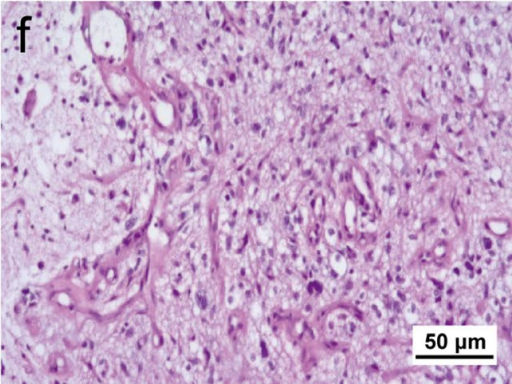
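Section of a densely cellular lesion crowded with vascular channels. Many vessels, round to branching, have thick, glassy pink walls and small open lumens. Between the vessels lie numerous cells with round to oval purple nuclei in pale, partly vacuolated tissue. The upper and central areas show many small clear vacuoles giving a bubbly texture. The vessels are distributed irregularly across the whole field.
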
